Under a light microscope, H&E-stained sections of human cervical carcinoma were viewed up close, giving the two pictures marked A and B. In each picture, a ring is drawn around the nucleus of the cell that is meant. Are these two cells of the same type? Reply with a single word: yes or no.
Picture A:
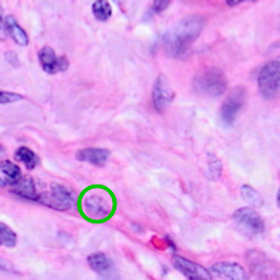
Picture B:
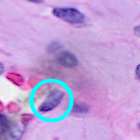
yes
